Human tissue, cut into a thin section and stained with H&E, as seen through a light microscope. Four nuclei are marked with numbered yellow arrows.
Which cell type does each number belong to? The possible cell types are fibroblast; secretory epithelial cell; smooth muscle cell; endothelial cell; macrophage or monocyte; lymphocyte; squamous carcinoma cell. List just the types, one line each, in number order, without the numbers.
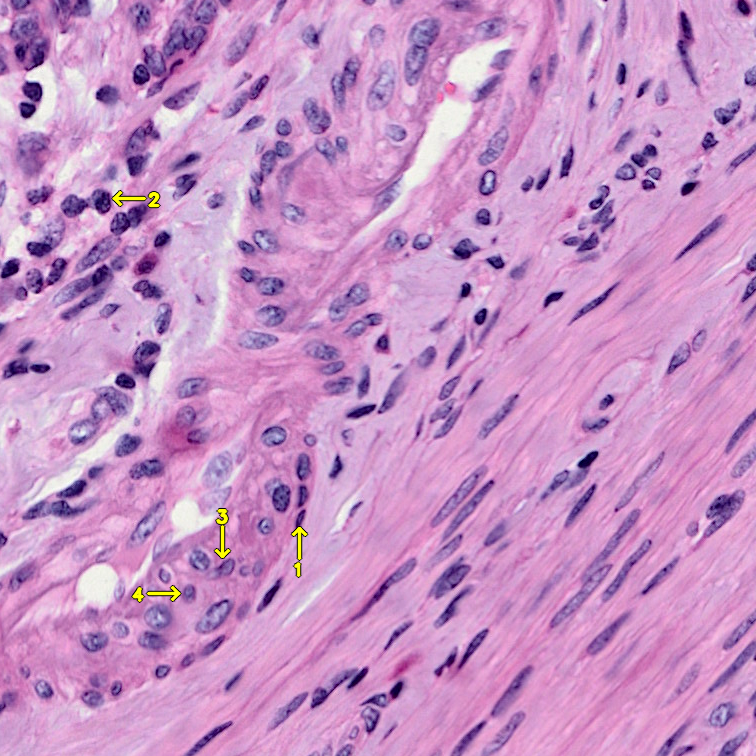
smooth muscle cell
lymphocyte
smooth muscle cell
smooth muscle cell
